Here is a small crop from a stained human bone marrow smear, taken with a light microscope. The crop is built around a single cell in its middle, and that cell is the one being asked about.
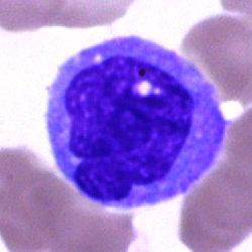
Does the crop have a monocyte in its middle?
yes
